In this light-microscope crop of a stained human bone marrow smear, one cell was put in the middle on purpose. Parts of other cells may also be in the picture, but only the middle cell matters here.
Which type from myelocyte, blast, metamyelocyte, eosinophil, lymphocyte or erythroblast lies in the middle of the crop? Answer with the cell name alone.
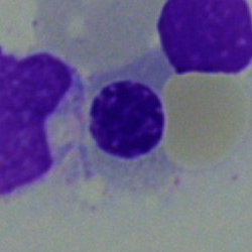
erythroblast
